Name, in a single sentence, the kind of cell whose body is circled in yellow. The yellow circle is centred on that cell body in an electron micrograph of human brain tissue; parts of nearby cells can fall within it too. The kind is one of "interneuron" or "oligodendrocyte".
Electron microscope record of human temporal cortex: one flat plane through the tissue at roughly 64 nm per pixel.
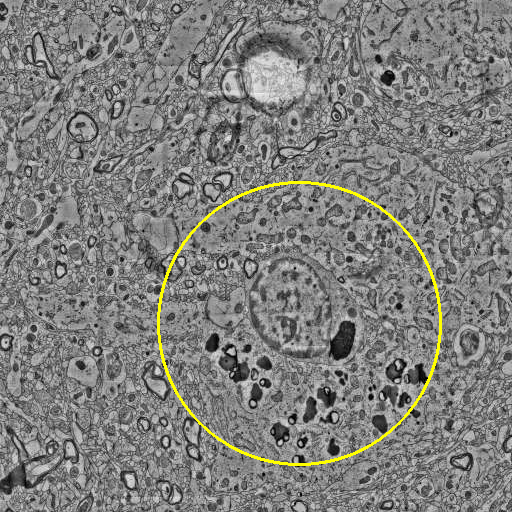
The circled cell body belongs to an oligodendrocyte.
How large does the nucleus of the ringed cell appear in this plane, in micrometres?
About 7 micrometres by about 5 micrometres in this plane.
